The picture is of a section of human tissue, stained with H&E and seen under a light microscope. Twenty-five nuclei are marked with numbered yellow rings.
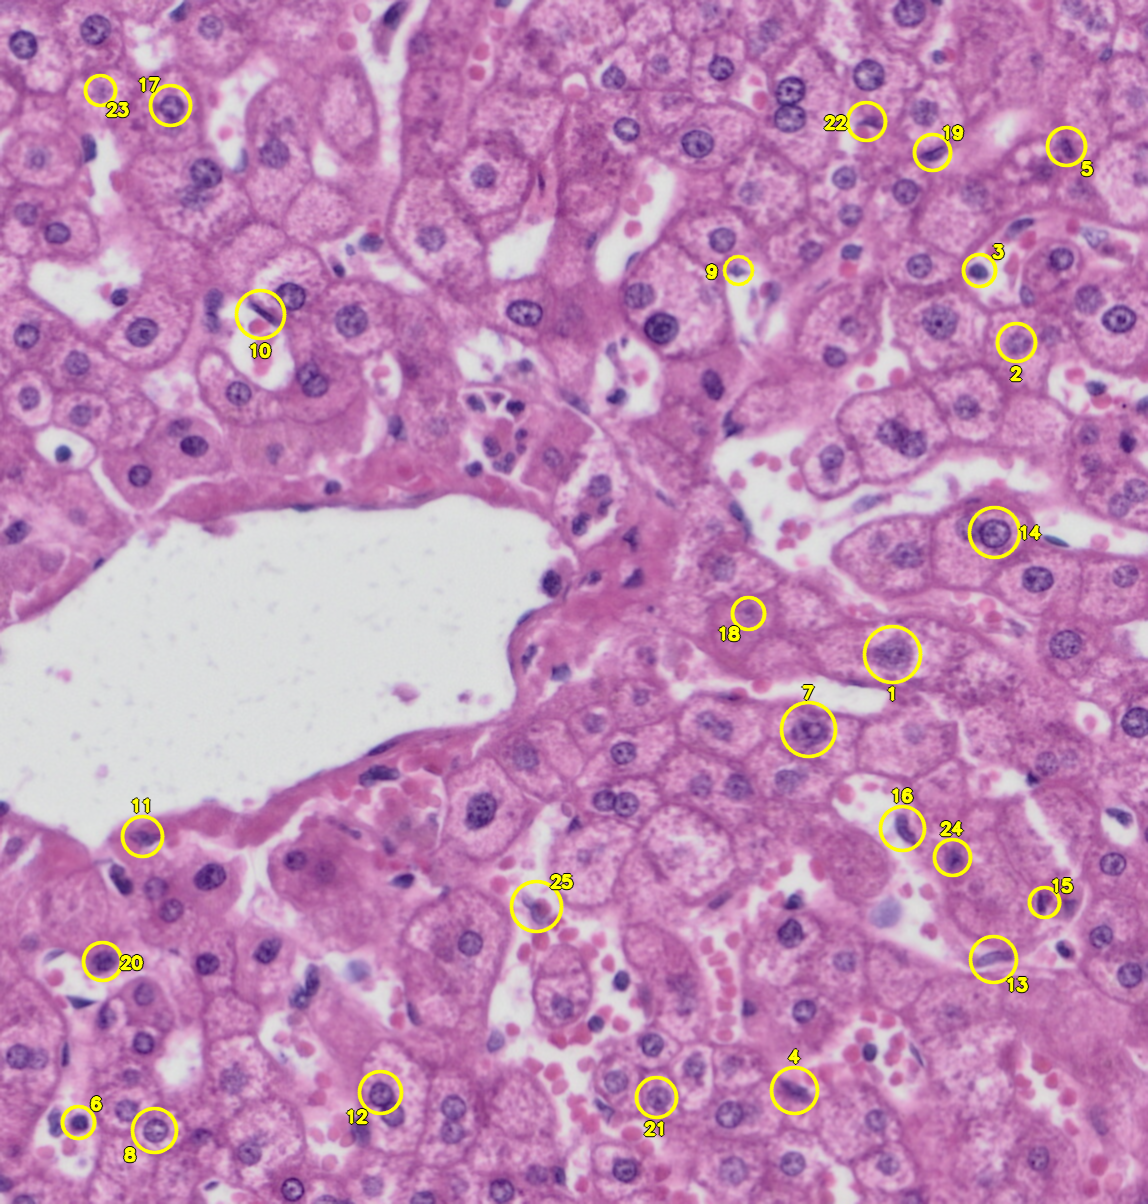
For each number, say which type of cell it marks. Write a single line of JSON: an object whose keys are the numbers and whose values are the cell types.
{"1": "hepatocyte", "2": "hepatocyte", "3": "lymphocyte", "4": "endothelial cell", "5": "fibroblast or stellate cell", "6": "lymphocyte", "7": "hepatocyte", "8": "hepatocyte", "9": "lymphocyte", "10": "endothelial cell", "11": "fibroblast or stellate cell", "12": "hepatocyte", "13": "Kupffer cell", "14": "hepatocyte", "15": "fibroblast or stellate cell", "16": "Kupffer cell", "17": "hepatocyte", "18": "hepatocyte", "19": "fibroblast or stellate cell", "20": "Kupffer cell", "21": "hepatocyte", "22": "endothelial cell", "23": "hepatocyte", "24": "fibroblast or stellate cell", "25": "Kupffer cell"}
